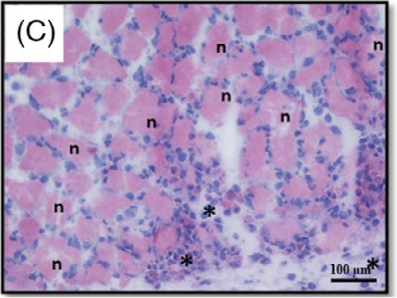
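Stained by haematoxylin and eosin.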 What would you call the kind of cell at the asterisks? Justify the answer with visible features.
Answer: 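Immune cells. Many small dark nuclei crowd between the fibres, densest at the lower edge.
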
